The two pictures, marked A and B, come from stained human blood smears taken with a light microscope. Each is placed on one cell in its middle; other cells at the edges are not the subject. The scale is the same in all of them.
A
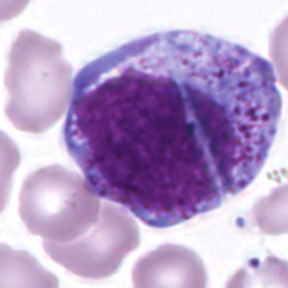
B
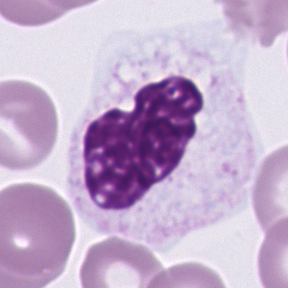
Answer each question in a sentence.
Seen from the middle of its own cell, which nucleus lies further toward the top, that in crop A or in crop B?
It is the nucleus in crop B that lies further toward the top of its cell.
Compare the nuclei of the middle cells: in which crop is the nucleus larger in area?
Crop A shows the larger nucleus; it covers about 1.5 times the area of the nucleus in crop B.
